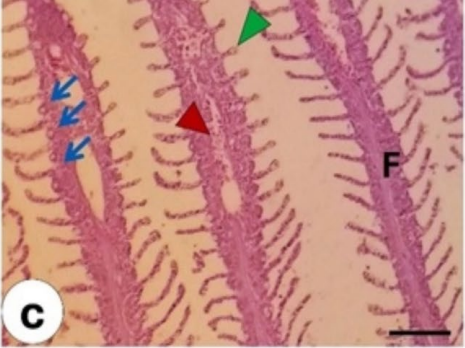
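This is gill tissue showing several pink filaments, each bearing rows of short secondary lamellae on both sides. The cores of some filaments contain widened vessel spaces. Some lamellae have swollen, rounded tips rather than slender ends. Rounded cells lie along the filaments at the bases of the lamellae.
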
